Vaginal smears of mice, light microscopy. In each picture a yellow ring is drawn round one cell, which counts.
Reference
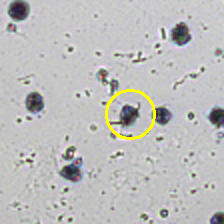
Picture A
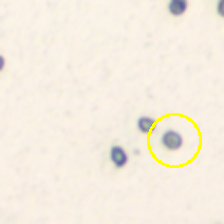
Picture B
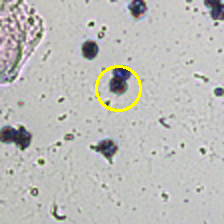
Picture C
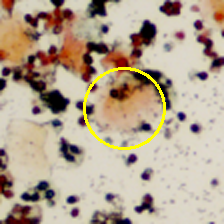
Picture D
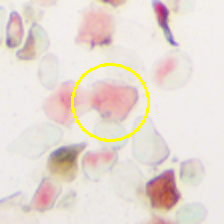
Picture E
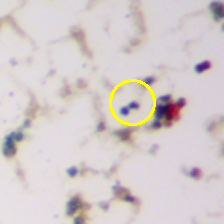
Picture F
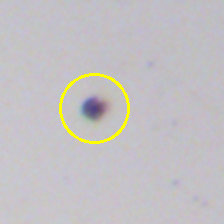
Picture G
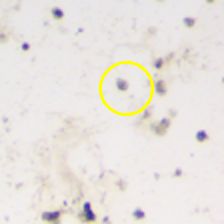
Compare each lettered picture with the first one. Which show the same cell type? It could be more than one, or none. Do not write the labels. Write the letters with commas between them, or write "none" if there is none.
A, B, E, F, G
